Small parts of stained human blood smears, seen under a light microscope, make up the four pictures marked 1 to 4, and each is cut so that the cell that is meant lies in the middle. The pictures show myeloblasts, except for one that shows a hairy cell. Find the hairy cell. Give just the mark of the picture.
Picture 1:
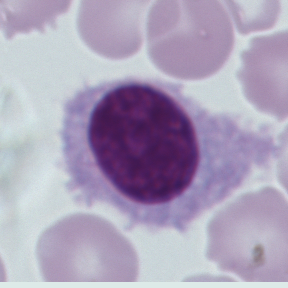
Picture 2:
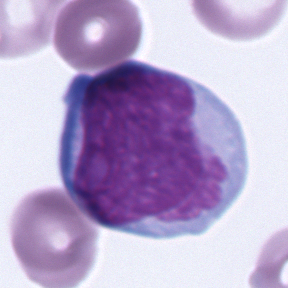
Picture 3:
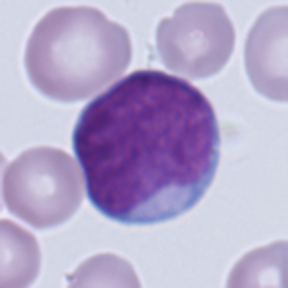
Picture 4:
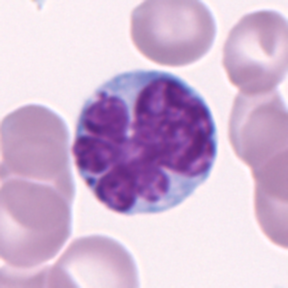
1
